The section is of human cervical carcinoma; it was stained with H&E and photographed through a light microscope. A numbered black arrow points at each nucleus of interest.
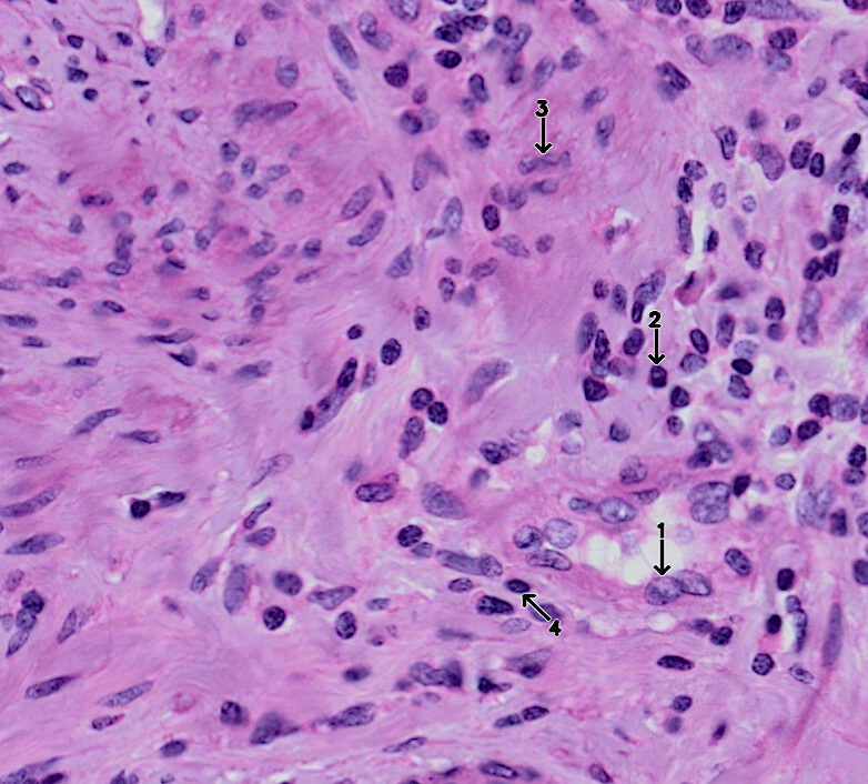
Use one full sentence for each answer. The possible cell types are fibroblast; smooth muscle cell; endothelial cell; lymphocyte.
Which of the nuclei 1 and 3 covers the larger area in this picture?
At about 2.5 times the area of nucleus 3, nucleus 1 is the larger of the two.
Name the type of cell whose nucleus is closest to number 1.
Closest to number 1 lies the nucleus of an endothelial cell.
